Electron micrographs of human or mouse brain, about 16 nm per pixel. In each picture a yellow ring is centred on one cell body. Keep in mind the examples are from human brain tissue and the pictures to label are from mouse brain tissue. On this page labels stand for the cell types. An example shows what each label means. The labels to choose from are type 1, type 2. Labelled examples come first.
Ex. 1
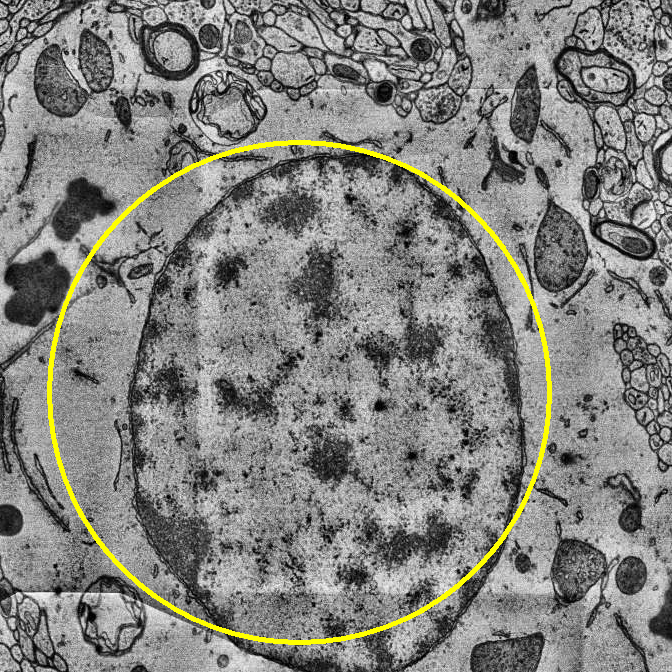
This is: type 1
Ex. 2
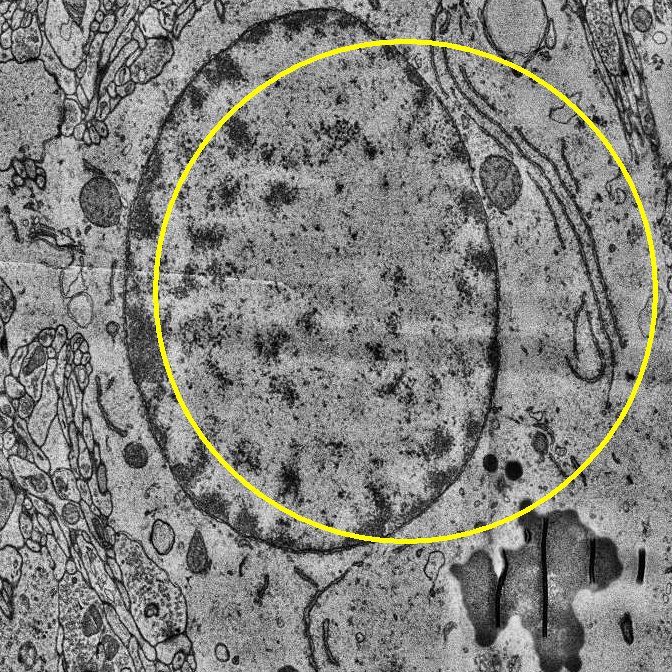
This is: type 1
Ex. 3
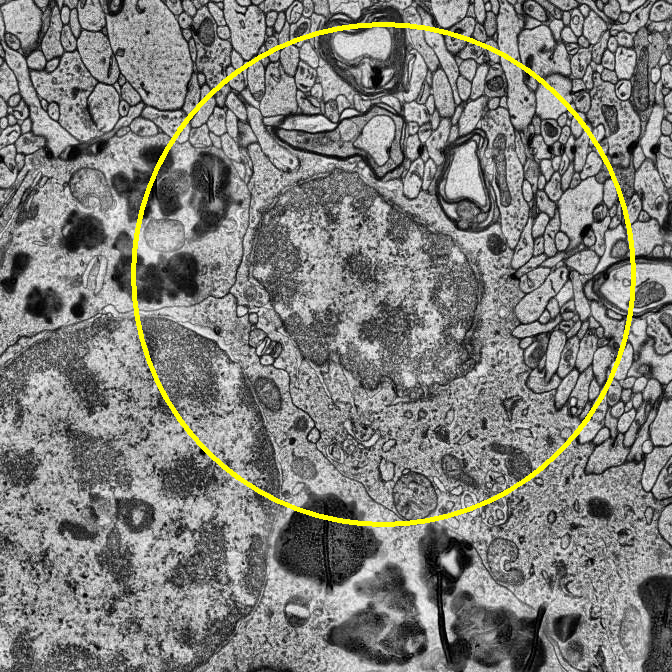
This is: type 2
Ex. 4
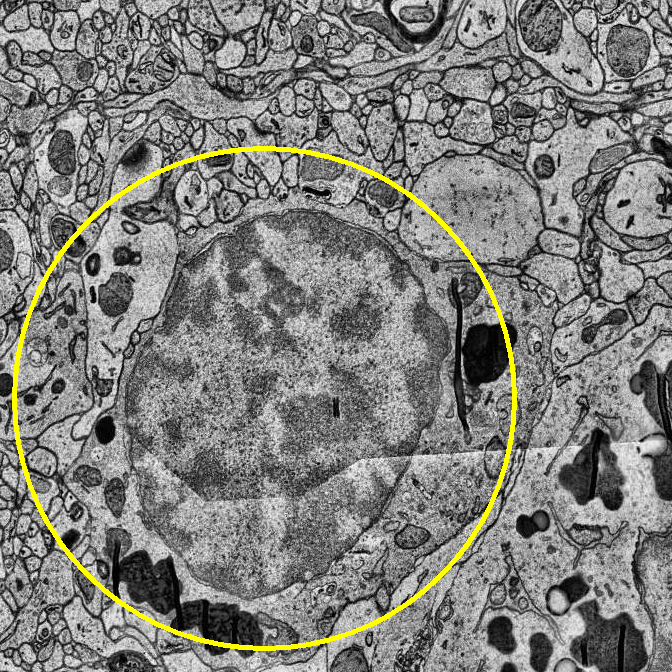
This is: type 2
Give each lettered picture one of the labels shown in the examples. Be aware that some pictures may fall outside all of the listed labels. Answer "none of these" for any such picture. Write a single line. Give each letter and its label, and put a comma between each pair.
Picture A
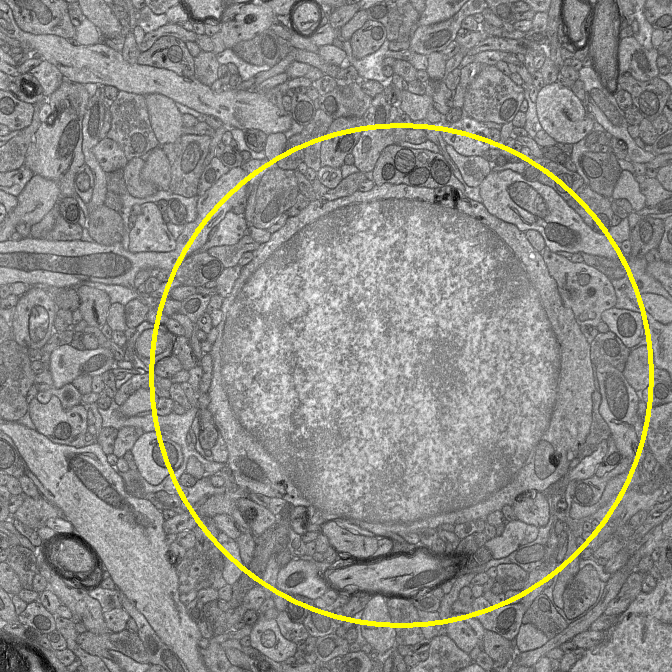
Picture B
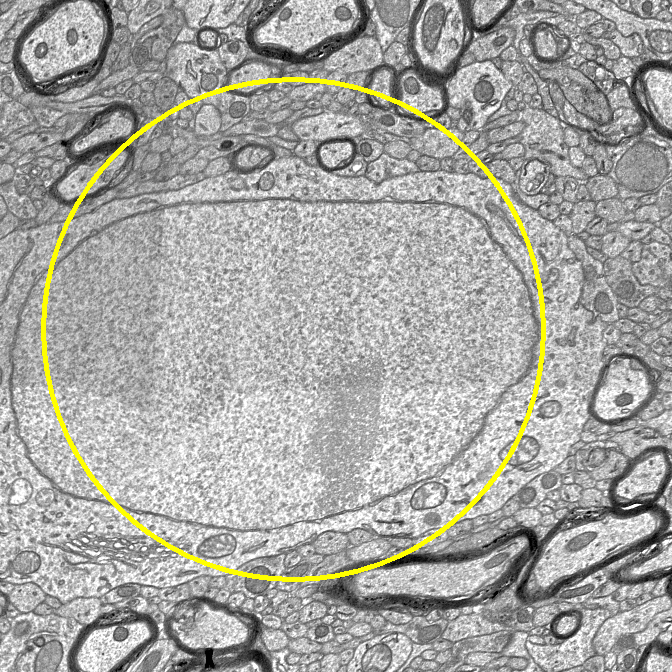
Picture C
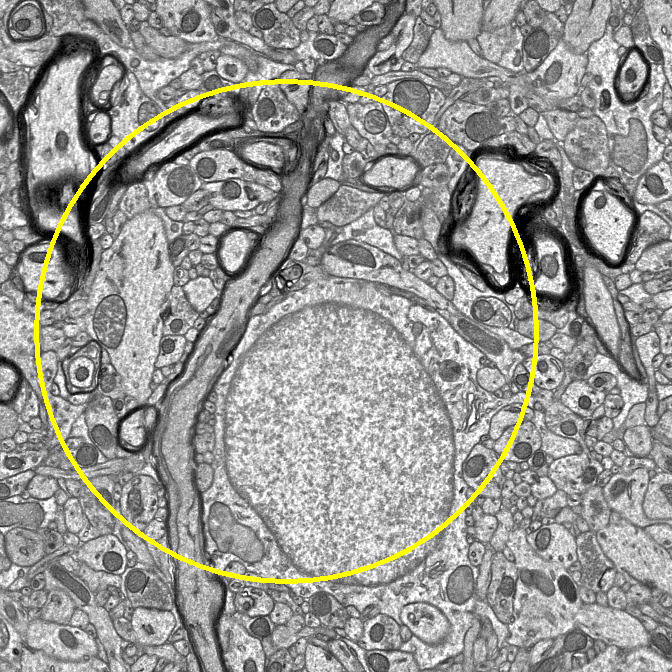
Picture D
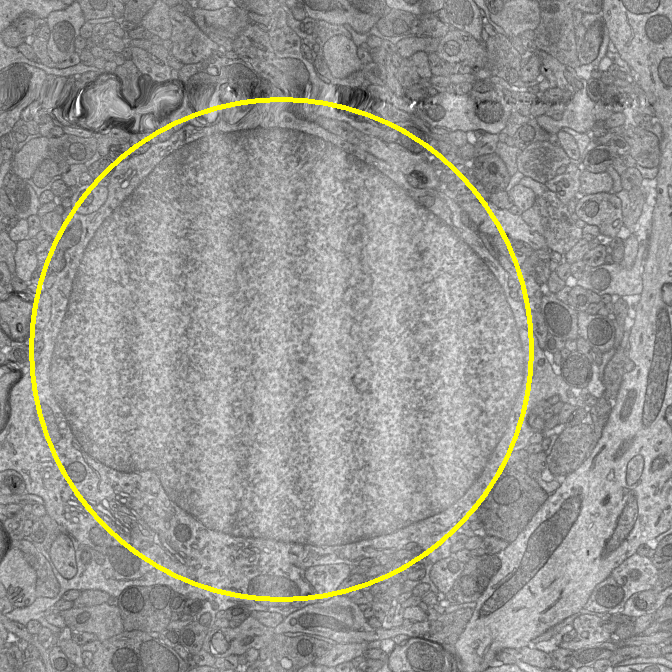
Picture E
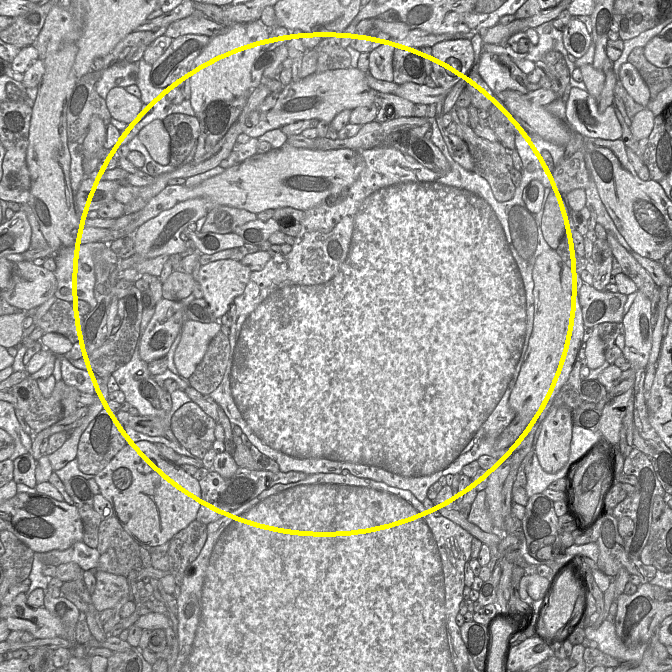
A type 2, B none of these, C type 1, D type 1, E type 1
